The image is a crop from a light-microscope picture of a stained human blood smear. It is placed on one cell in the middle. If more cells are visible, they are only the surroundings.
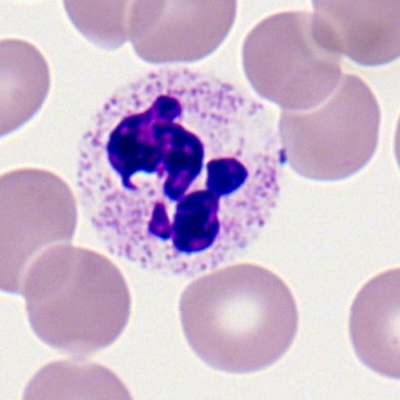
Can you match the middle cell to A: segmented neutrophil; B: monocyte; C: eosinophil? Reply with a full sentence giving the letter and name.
The centered cell is a segmented neutrophil, which is why option A is right.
